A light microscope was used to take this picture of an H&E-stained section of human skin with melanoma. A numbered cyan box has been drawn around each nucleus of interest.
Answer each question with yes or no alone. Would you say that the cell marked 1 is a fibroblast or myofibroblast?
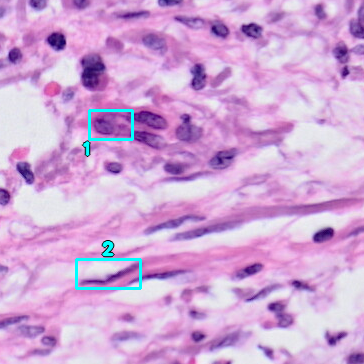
no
